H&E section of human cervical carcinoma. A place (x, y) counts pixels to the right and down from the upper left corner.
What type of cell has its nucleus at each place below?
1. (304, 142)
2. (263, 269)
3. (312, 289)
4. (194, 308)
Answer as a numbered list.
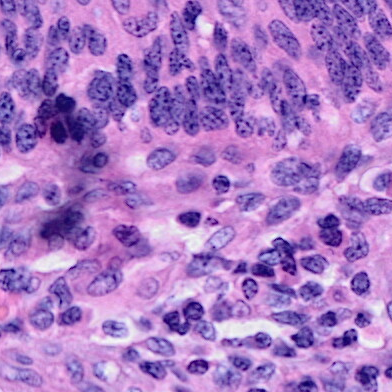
1. squamous carcinoma cell
2. lymphocyte
3. lymphocyte
4. lymphocyte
